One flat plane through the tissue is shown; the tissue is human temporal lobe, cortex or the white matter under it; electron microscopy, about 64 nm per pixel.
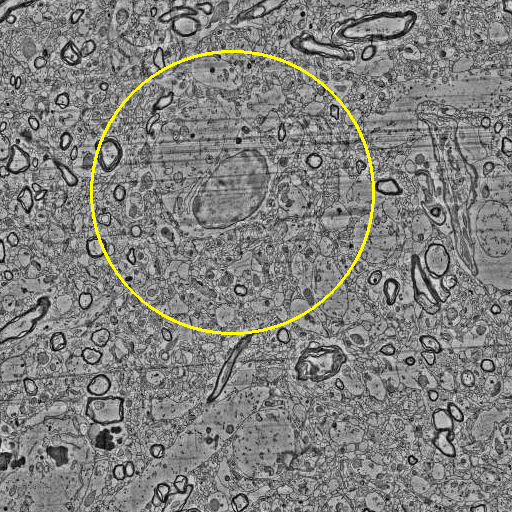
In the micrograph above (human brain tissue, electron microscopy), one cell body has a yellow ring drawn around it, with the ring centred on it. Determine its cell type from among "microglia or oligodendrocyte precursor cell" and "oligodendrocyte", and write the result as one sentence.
The cell whose body is ringed is a microglial cell or oligodendrocyte precursor cell.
